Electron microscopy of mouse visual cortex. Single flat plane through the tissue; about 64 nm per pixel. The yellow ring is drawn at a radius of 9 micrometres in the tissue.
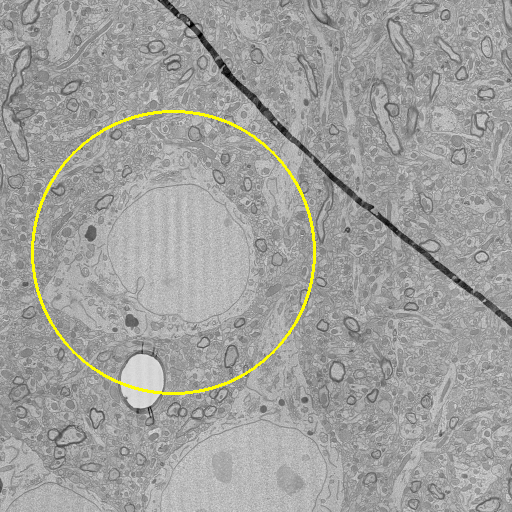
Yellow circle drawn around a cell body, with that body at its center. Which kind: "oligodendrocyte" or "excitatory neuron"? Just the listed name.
excitatory neuron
